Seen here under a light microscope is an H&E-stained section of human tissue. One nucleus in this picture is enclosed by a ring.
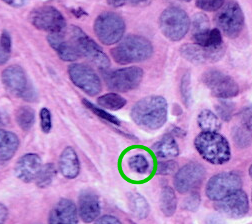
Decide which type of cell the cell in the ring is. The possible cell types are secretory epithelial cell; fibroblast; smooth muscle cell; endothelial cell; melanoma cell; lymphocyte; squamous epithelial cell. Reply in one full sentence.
The cell in the ring appears to be a lymphocyte.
